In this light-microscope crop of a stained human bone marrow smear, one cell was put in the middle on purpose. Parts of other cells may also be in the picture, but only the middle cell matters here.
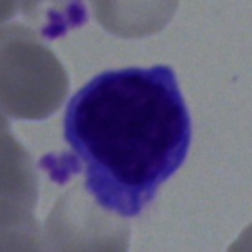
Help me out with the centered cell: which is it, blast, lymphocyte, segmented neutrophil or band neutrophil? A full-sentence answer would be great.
The single cell at the center of the crop is a lymphocyte.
